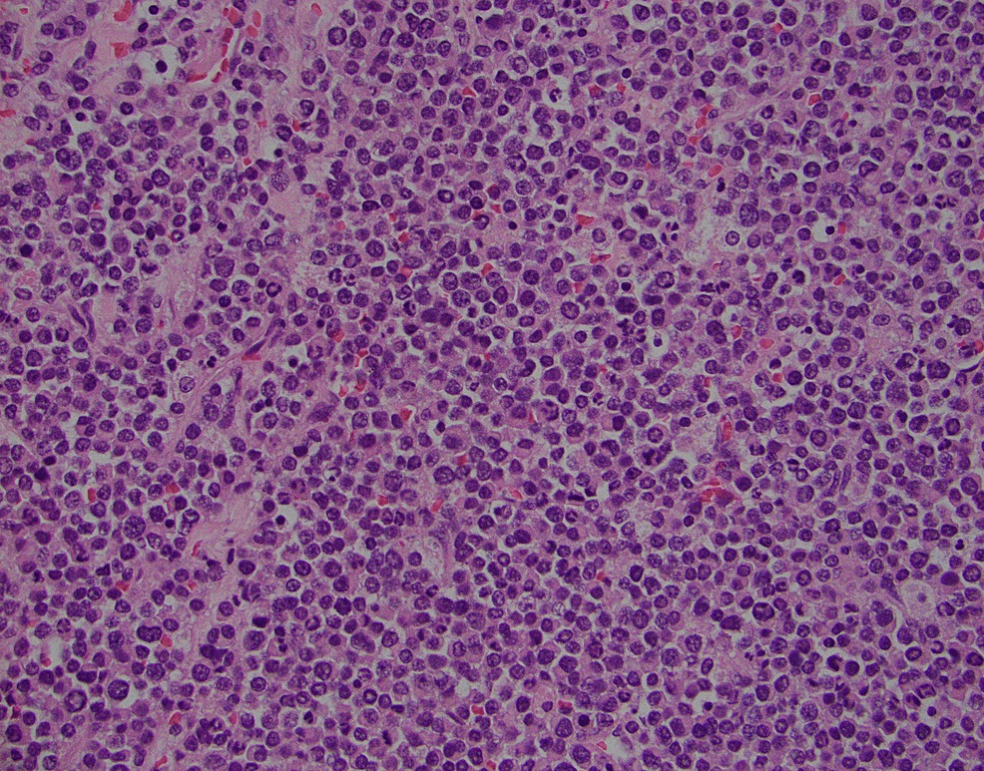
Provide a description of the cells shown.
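This section of a mass is almost entirely replaced by densely packed plasma cells lying in solid sheets. Each cell is round to oval, with a round, darkly stained nucleus that often sits toward one edge of the cell. The chromatin in many nuclei is coarse and clumped. The cytoplasm forms a moderate purple-pink rim around the nucleus. Only thin strands of pale pink stroma and small vessels containing bright red blood cells run between the sheets, and little of the original tissue remains visible.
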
